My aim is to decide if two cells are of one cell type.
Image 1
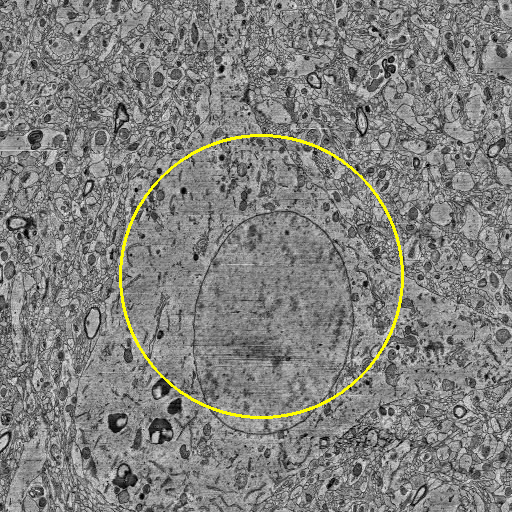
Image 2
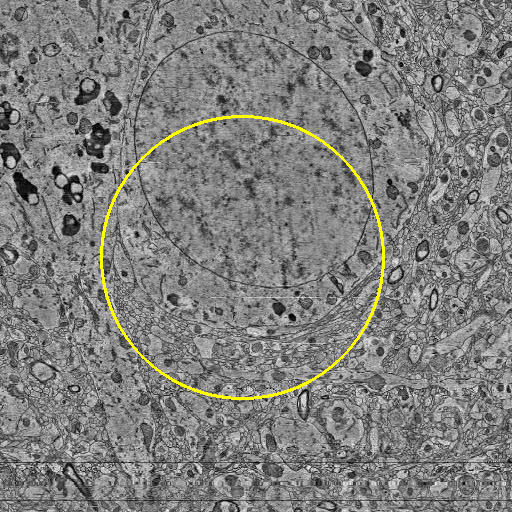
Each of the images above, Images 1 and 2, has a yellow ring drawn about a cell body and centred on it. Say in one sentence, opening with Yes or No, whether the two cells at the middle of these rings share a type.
Yes, in Images 1 and 2 the cells at the middle of the rings share one type.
